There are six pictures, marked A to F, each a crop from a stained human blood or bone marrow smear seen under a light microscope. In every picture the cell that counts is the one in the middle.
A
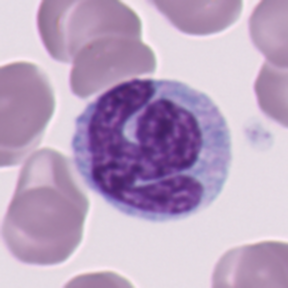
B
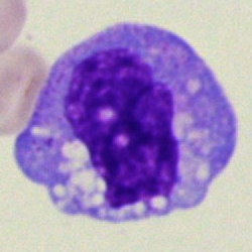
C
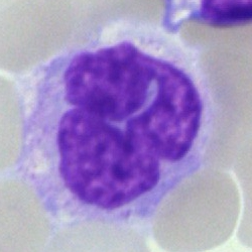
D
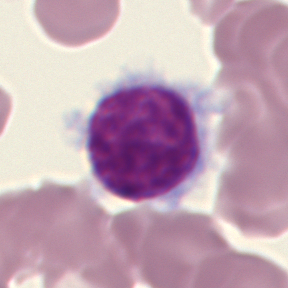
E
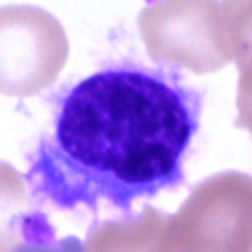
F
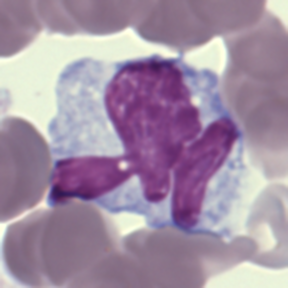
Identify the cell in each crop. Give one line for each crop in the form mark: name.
A: monocyte
B: monocyte
C: monocyte
D: hairy cell
E: hairy cell
F: monocyte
